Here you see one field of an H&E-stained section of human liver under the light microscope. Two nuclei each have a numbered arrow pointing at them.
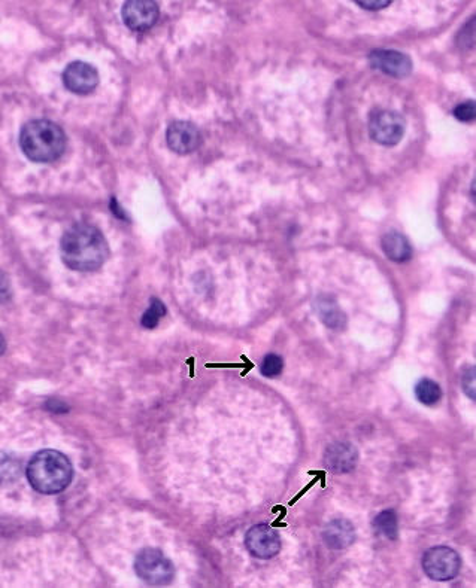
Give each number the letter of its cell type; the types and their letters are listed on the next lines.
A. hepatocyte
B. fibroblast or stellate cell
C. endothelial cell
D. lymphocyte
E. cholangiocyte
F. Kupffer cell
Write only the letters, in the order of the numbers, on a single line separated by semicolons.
D; A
